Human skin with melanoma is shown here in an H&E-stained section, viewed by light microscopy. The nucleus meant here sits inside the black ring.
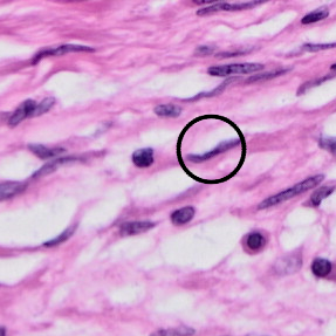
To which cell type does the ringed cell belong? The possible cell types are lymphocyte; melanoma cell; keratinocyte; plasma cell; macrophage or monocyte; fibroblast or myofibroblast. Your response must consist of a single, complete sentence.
Microscopically, the ringed cell is categorized as a fibroblast or myofibroblast.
